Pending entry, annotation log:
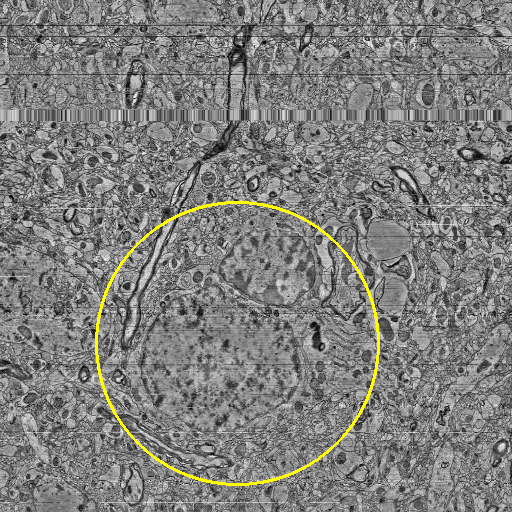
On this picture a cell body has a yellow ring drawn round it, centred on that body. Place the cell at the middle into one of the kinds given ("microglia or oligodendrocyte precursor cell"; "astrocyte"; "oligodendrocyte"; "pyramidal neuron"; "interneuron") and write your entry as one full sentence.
The cell body at the middle of the yellow ring belongs to an interneuron.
